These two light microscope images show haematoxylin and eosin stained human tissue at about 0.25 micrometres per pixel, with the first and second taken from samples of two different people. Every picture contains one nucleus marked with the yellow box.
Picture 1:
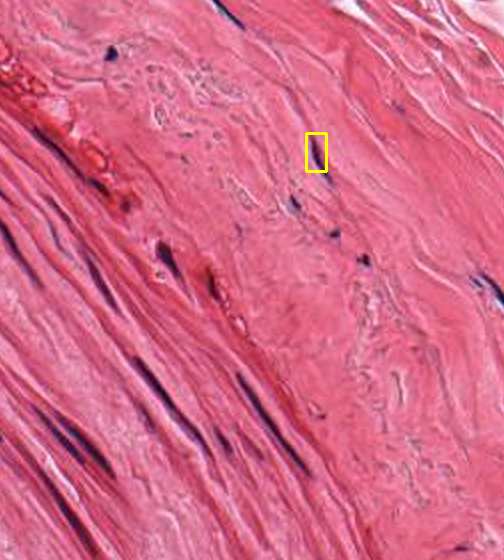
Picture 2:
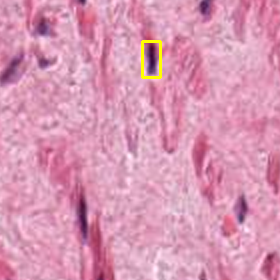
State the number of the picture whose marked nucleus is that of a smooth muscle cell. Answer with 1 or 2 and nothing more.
2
